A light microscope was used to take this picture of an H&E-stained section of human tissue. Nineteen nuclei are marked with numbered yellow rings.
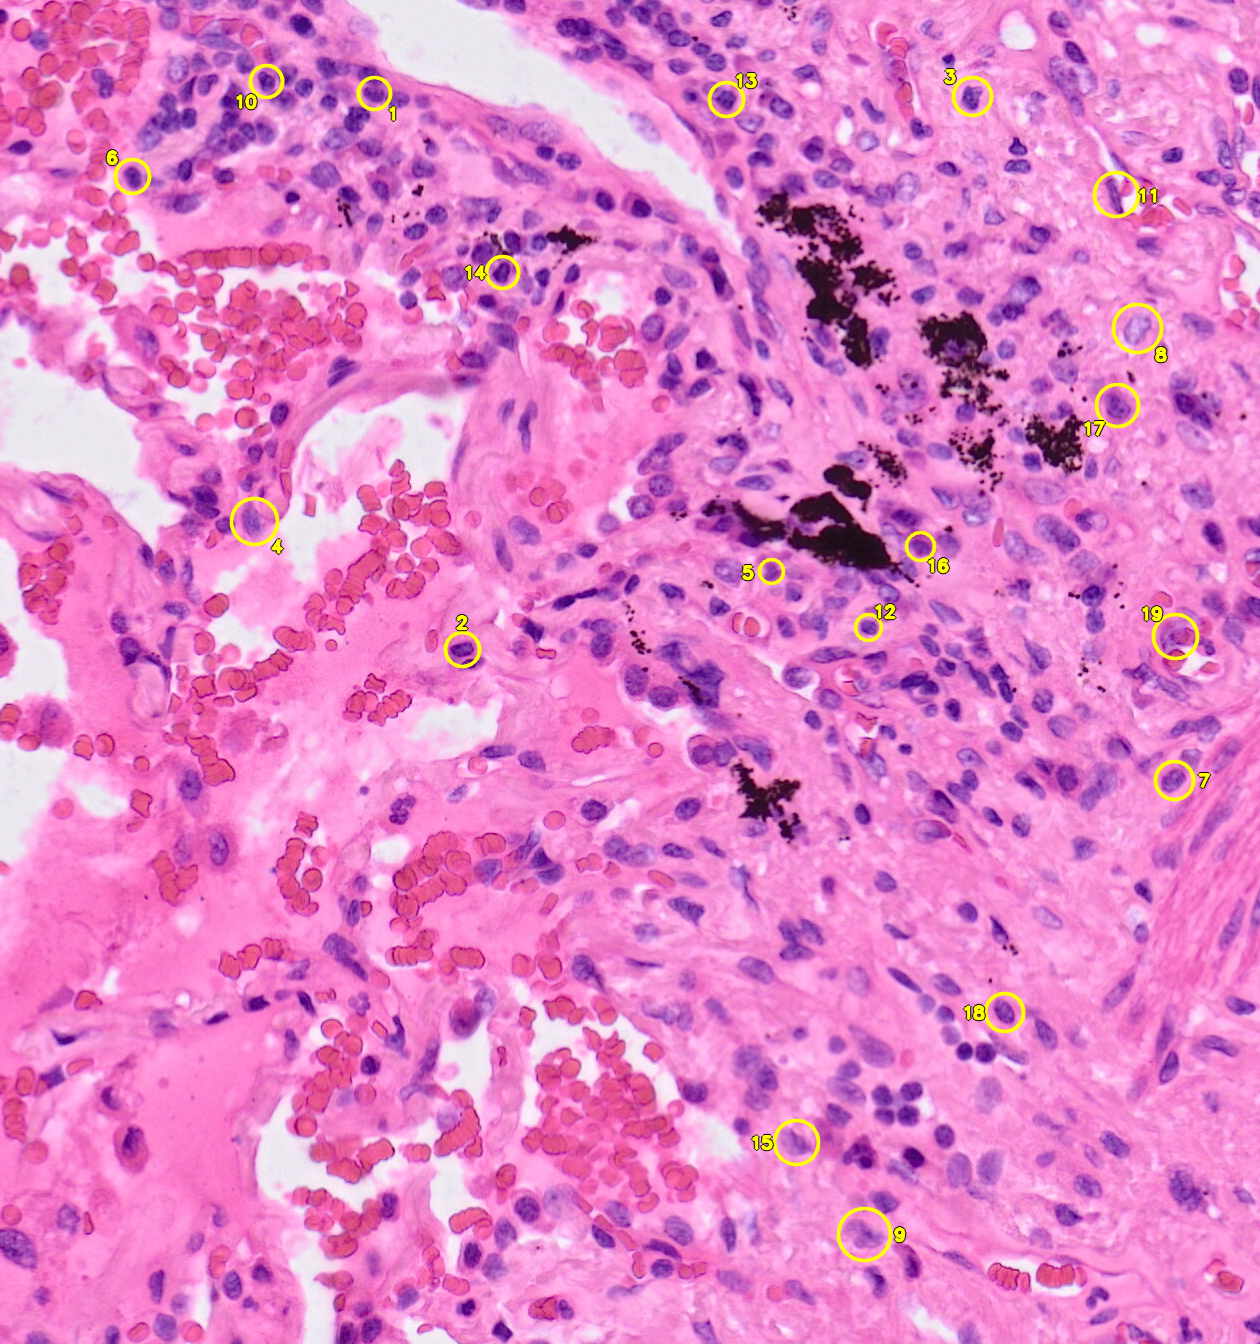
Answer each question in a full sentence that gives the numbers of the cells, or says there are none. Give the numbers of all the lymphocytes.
As for the cells numbered 1, 3, 6, 10, 12 and 13, they are lymphocytes.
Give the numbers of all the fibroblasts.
On this slide, the cells numbered 8, 9 and 15 are fibroblasts.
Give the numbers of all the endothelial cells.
Cells numbered 11 and 19 belong to the group of endothelial cells.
